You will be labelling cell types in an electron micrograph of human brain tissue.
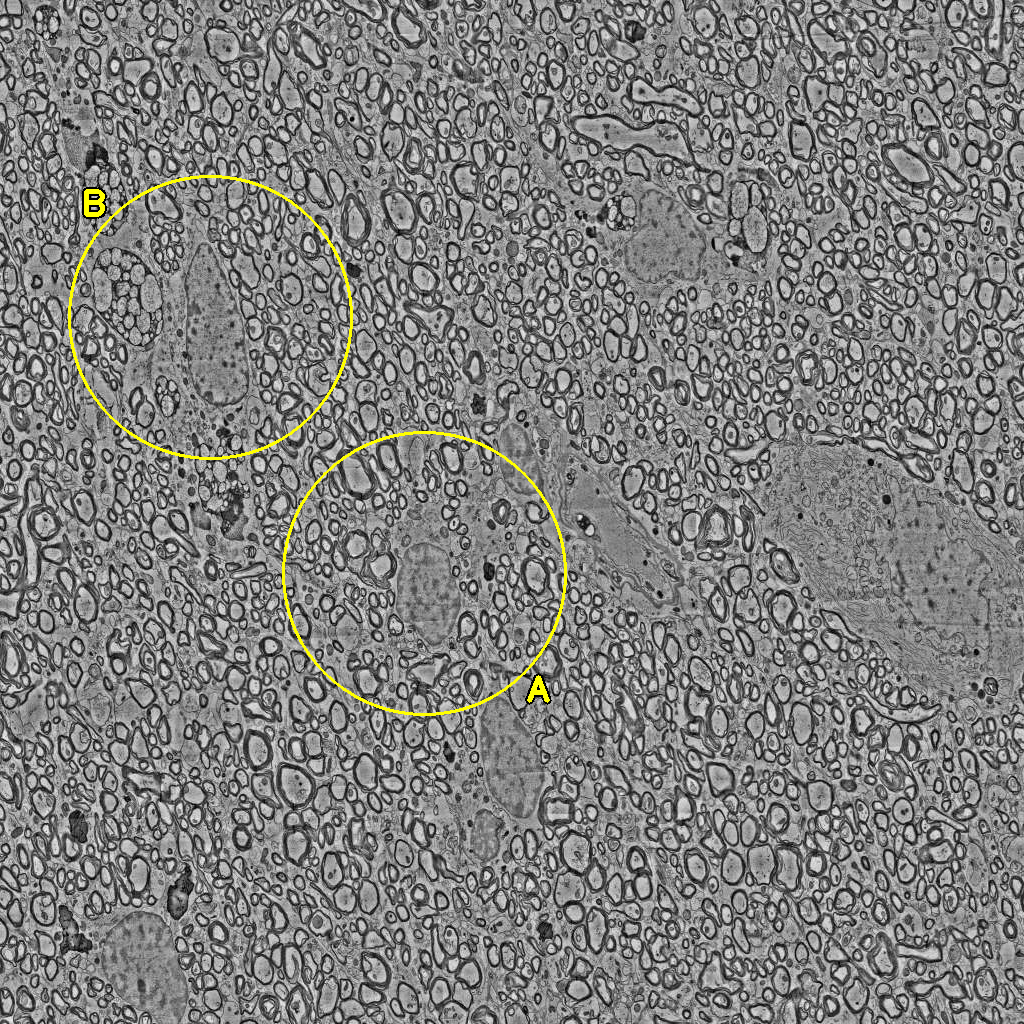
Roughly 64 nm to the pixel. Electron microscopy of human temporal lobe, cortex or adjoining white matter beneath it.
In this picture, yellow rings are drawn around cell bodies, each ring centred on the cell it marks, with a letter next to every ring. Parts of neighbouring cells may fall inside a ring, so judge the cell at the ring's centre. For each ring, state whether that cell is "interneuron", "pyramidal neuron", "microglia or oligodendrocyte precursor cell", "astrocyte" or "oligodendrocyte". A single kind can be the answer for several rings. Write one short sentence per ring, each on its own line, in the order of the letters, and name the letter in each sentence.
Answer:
Ring A contains an oligodendrocyte at its centre.
Ring B contains an astrocyte at its centre.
